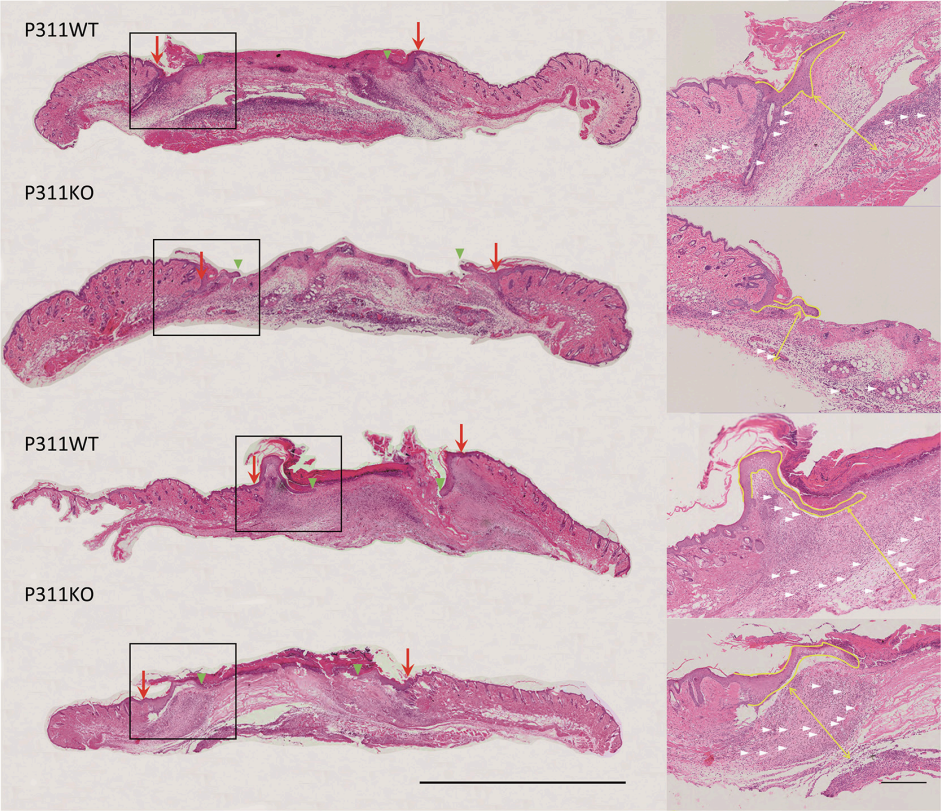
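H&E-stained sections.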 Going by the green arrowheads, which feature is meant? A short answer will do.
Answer: Tips of epithelial tongues.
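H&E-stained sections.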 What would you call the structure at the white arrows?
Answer: microvessels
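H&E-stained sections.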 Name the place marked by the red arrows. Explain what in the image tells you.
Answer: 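Each red arrow sits where the intact, thicker skin with hair follicles ends and the wound bed begins. Two red arrows flank the central disrupted region of each section.
Conclusion: wound edges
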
